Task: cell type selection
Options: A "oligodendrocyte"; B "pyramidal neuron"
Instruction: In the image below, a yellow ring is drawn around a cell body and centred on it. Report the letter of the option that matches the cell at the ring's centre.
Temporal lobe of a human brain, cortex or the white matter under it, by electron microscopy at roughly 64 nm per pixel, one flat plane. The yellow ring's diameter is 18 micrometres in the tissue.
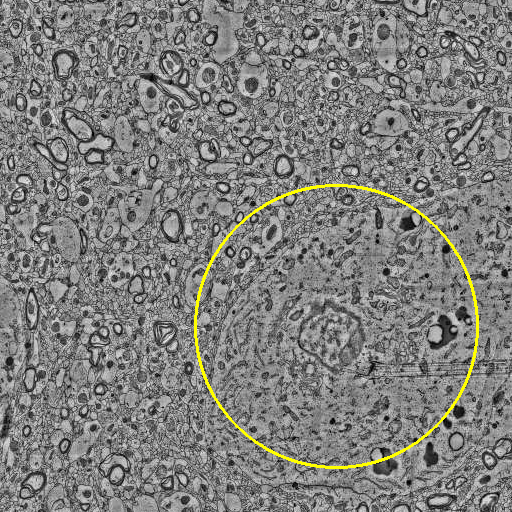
B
